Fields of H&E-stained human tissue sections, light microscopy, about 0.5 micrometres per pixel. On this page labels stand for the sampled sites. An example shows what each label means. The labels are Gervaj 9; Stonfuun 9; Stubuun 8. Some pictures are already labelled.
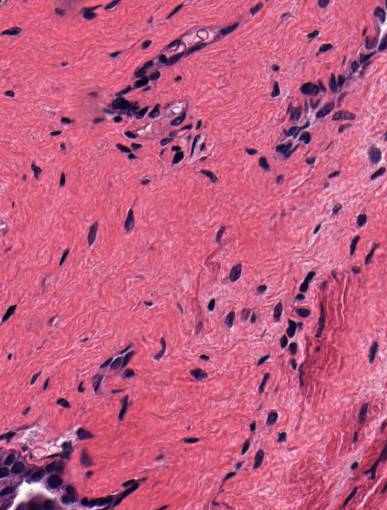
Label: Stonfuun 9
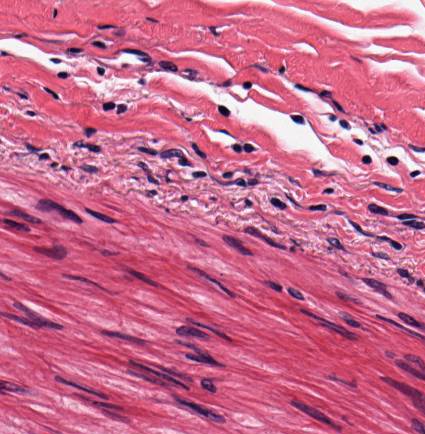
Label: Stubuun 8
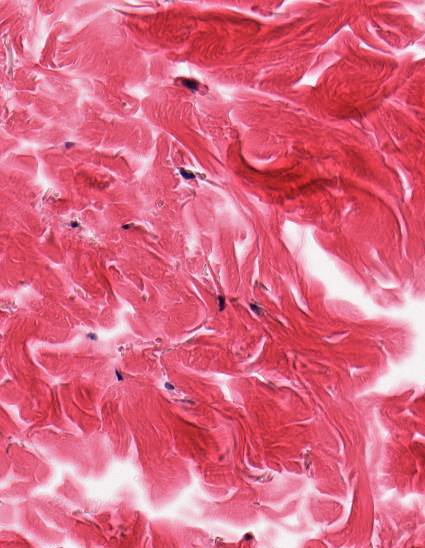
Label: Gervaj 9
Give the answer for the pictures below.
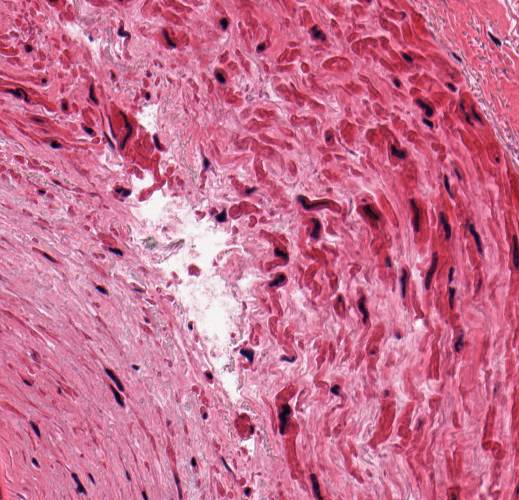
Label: Stubuun 8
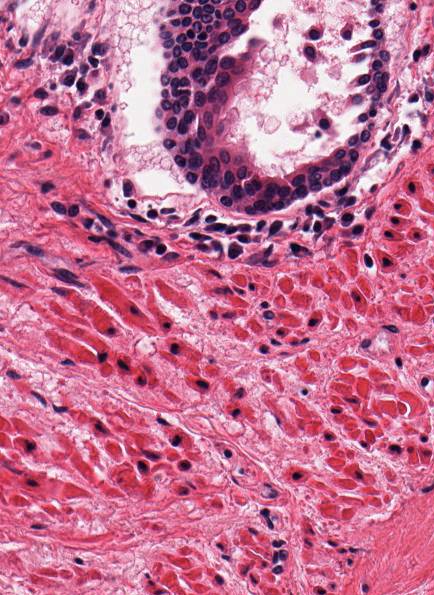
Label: Stonfuun 9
